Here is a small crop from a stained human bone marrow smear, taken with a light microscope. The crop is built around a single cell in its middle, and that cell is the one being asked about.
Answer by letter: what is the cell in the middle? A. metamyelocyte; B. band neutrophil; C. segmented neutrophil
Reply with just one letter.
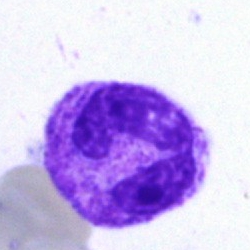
C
